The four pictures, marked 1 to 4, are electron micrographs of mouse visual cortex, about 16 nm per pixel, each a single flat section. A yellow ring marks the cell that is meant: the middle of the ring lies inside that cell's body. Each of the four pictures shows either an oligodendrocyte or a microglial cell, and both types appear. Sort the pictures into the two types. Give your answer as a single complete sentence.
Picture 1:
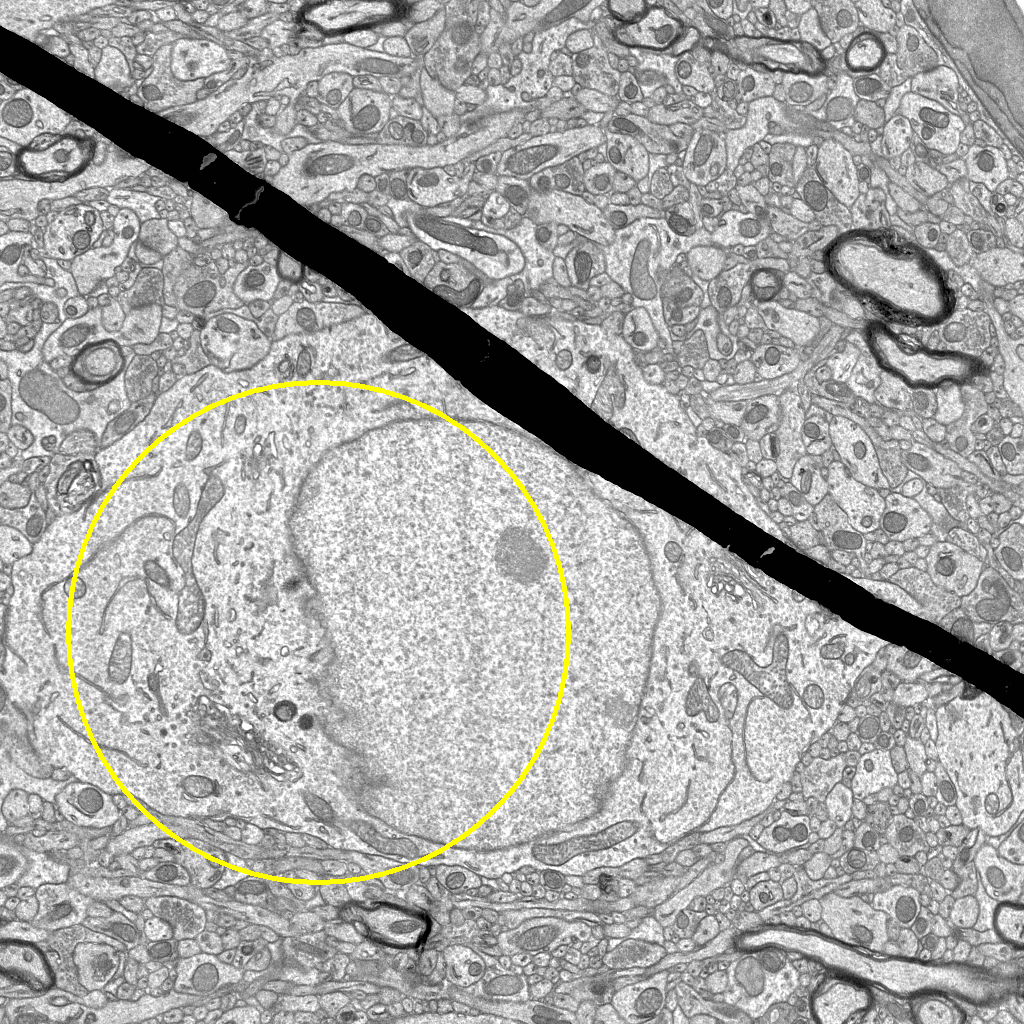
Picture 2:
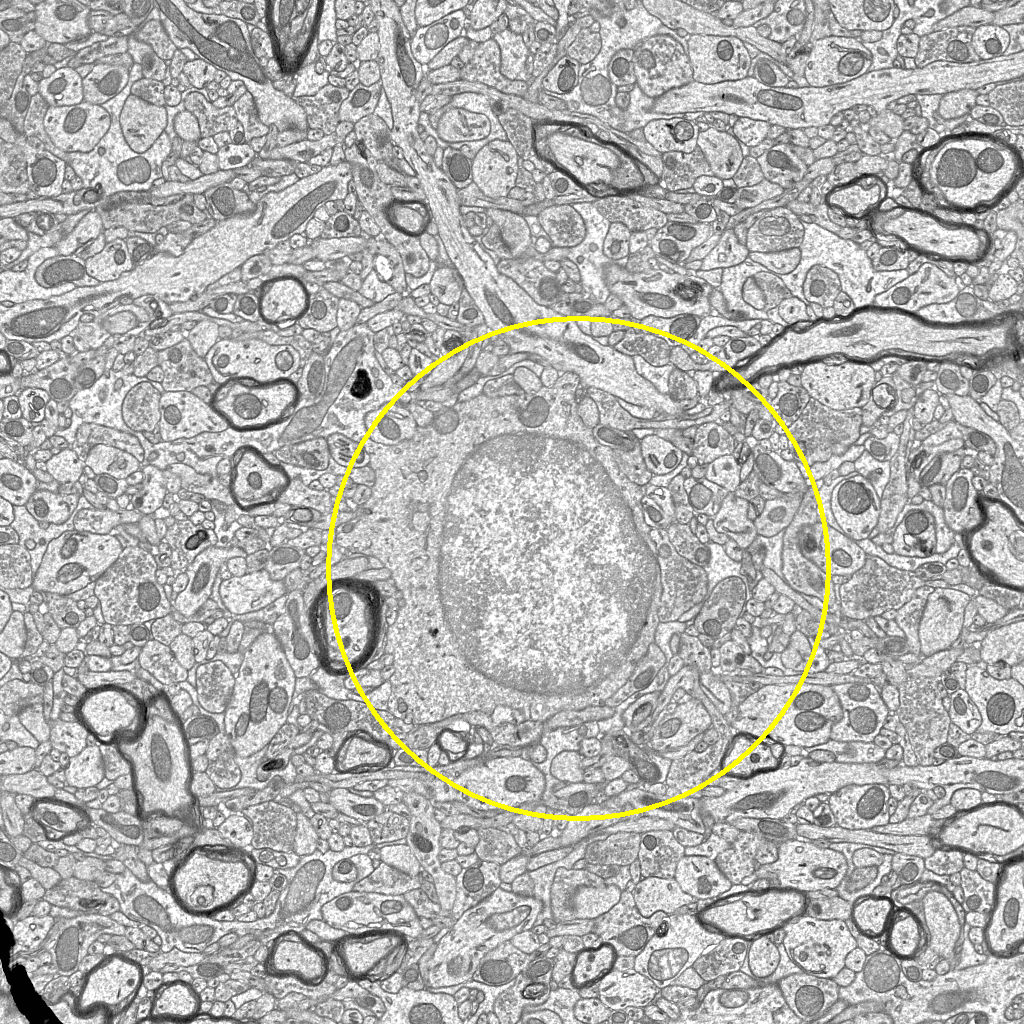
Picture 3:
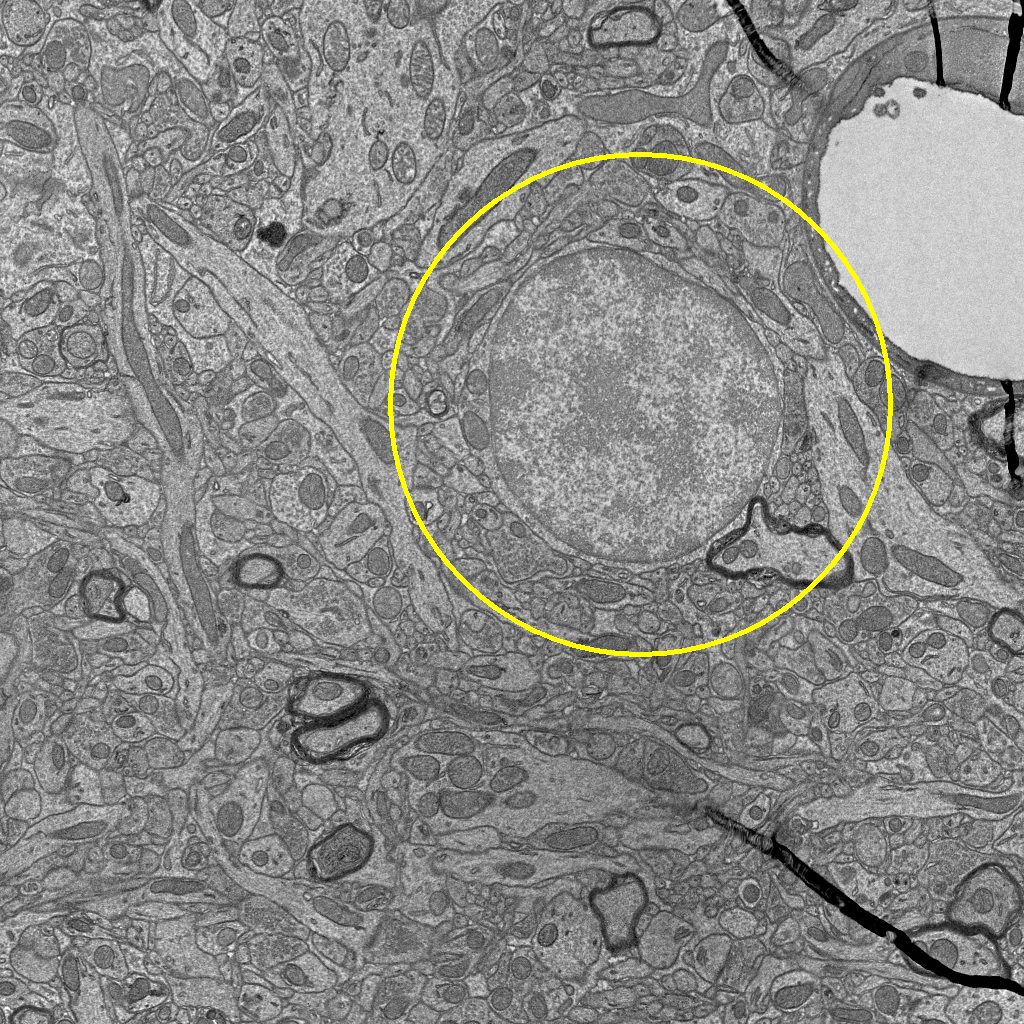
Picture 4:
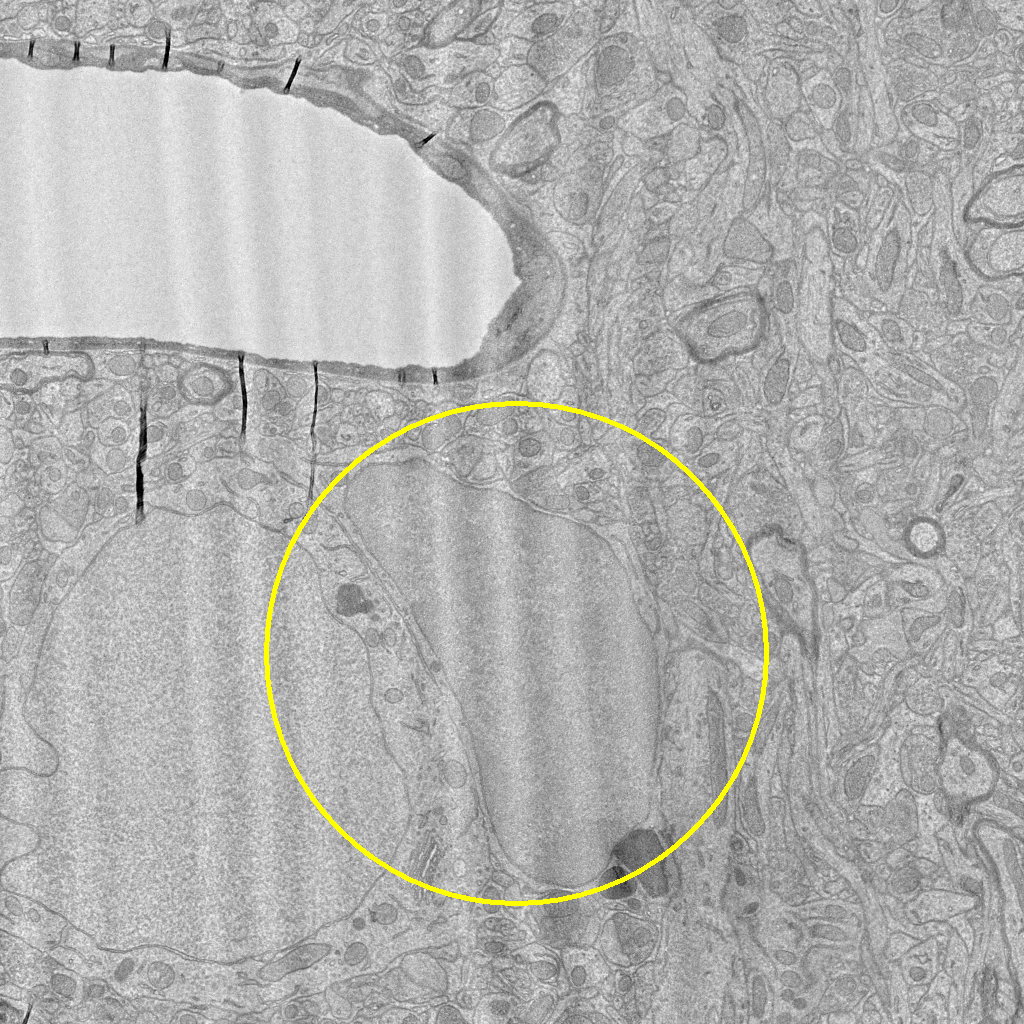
Pictures 1, 2 and 3 show oligodendrocytes, and picture 4 shows a microglial cell.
